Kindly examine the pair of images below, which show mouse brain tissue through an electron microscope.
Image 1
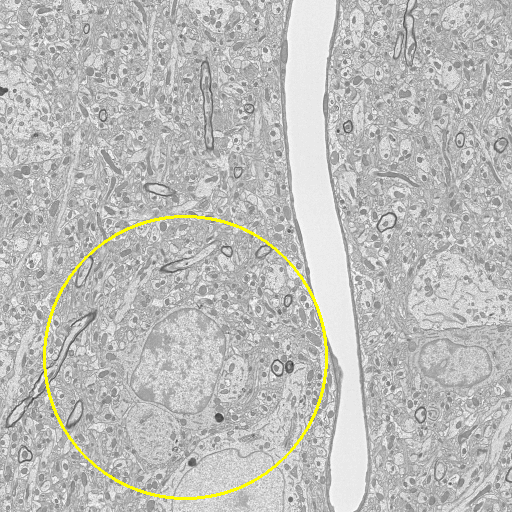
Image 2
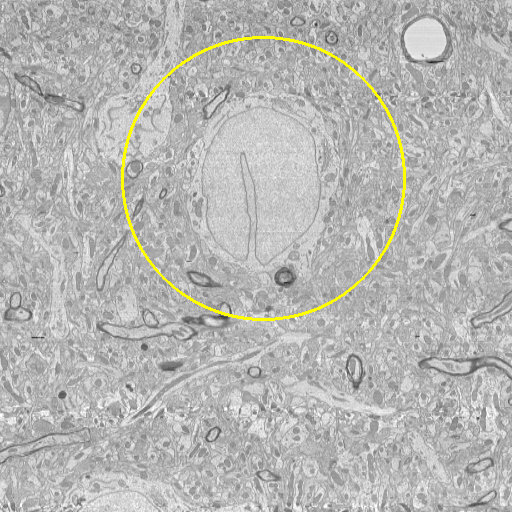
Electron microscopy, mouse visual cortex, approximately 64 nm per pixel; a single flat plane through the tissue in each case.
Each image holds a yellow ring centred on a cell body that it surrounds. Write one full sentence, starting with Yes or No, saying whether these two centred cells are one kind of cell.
No, the cells at the centres of the yellow rings belong to two kinds of cell.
